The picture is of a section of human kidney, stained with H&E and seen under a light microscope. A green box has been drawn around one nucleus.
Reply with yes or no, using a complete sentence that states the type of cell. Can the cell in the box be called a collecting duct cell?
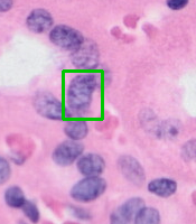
Yes, the description of the cell in the box as a collecting duct cell is accurate.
